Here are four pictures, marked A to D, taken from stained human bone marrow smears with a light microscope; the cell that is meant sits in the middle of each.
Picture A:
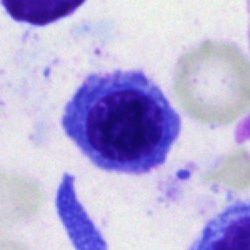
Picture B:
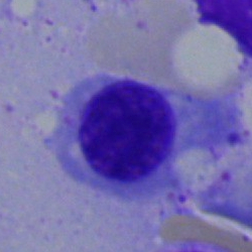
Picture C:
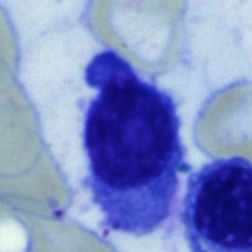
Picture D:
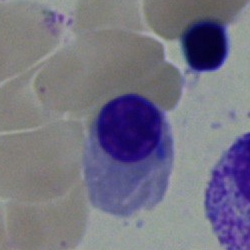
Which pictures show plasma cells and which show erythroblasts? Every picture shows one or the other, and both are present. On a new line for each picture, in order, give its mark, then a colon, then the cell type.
A: erythroblast
B: erythroblast
C: plasma cell
D: erythroblast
